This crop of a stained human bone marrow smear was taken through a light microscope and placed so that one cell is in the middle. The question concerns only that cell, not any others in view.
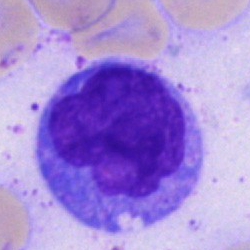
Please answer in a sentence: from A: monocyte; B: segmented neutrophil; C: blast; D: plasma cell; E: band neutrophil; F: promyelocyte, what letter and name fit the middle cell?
The centrally positioned cell is a monocyte, consistent with option A, which is correct.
